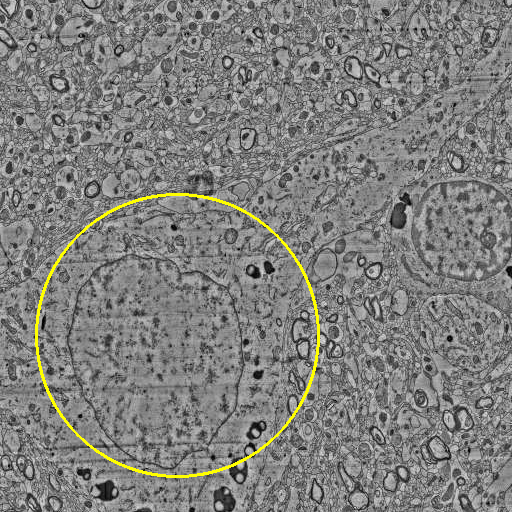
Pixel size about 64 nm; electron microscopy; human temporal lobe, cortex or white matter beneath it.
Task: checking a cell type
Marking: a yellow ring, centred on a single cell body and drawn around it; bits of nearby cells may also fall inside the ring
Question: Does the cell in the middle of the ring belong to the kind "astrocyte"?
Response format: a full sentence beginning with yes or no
No, the cell marked at the ring's centre in the picture is of a different kind.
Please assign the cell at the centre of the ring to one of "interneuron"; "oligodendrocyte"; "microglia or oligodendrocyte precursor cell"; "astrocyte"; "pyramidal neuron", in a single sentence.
The cell that the ring is centred on is a pyramidal neuron.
